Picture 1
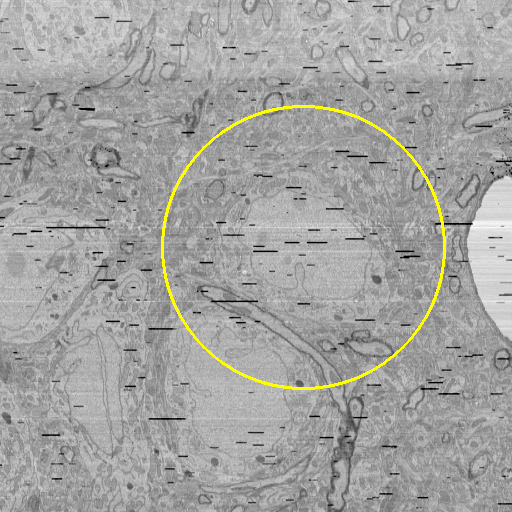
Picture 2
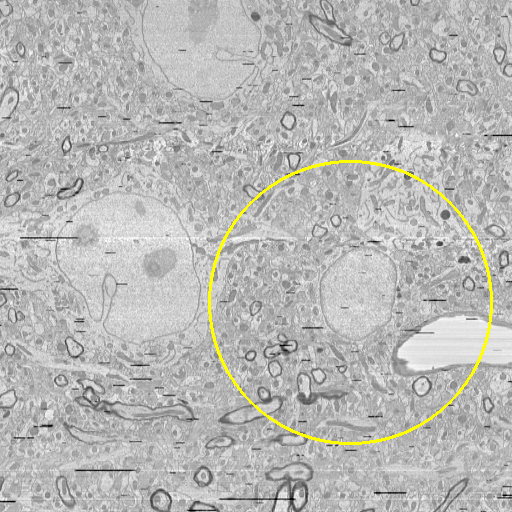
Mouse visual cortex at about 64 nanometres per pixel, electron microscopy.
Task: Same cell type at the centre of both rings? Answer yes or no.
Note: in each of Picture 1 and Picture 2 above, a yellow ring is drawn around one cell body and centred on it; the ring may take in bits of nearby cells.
no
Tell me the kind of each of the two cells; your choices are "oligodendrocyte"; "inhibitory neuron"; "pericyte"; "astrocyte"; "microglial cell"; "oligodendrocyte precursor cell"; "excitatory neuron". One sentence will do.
The ringed cell is an excitatory neuron in the first picture and an astrocyte in the second picture.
